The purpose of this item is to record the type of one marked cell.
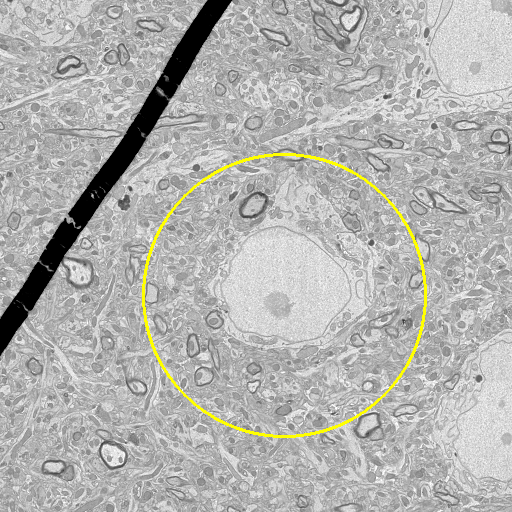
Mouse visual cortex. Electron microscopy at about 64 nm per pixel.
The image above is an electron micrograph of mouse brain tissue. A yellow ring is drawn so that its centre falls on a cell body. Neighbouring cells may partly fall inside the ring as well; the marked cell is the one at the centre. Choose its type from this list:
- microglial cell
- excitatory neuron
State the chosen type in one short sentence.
What the ring marks here is an excitatory neuron.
